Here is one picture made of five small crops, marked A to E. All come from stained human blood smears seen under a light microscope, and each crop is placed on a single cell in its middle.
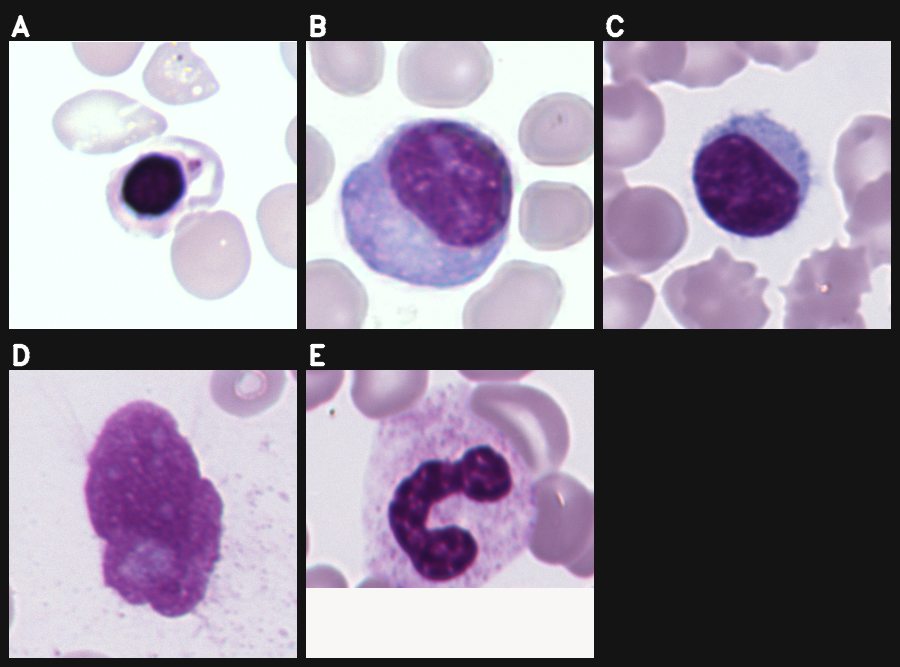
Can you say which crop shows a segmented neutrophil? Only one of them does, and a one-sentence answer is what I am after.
Of the cells presented, the one in crop E is a segmented neutrophil.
